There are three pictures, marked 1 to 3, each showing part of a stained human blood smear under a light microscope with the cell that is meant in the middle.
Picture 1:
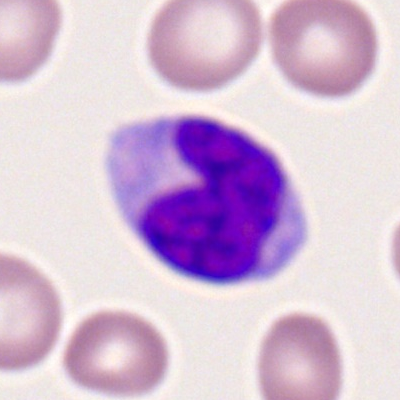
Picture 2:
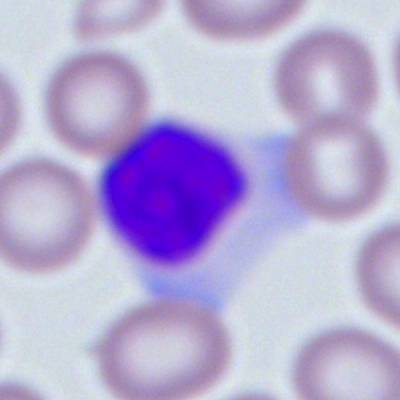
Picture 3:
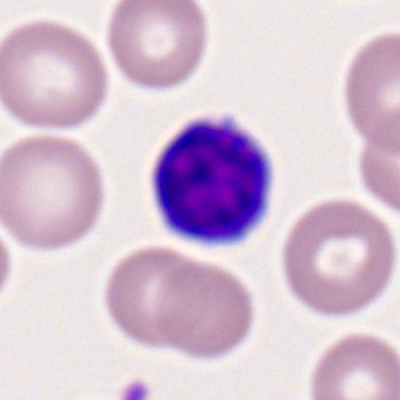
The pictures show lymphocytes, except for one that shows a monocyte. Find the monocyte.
1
